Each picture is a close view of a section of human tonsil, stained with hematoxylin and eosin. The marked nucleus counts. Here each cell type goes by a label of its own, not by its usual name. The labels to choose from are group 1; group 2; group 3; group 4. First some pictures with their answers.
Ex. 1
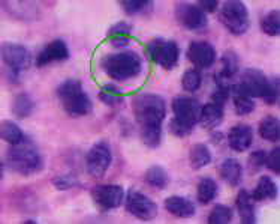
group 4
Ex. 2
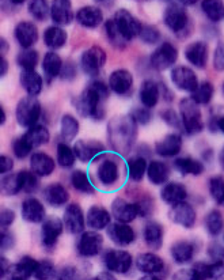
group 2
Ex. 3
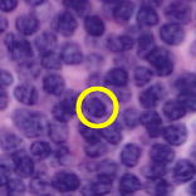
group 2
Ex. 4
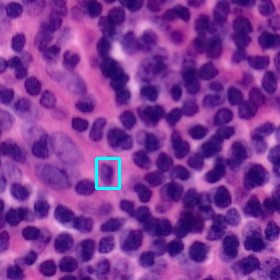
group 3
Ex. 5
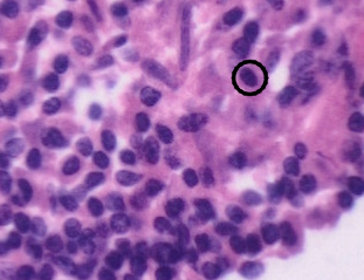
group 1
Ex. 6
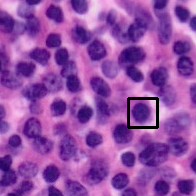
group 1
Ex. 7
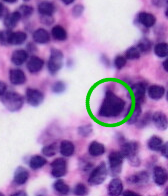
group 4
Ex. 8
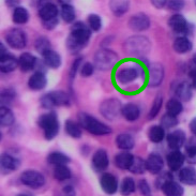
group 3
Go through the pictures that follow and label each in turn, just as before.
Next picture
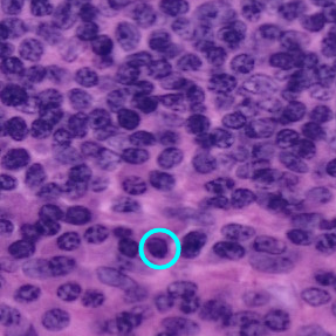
group 1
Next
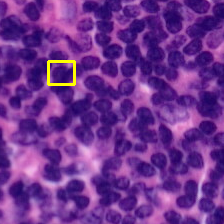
group 2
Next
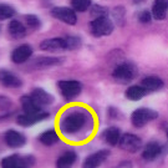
group 1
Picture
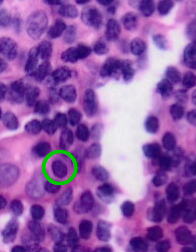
group 3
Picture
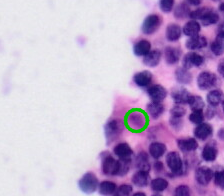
group 3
